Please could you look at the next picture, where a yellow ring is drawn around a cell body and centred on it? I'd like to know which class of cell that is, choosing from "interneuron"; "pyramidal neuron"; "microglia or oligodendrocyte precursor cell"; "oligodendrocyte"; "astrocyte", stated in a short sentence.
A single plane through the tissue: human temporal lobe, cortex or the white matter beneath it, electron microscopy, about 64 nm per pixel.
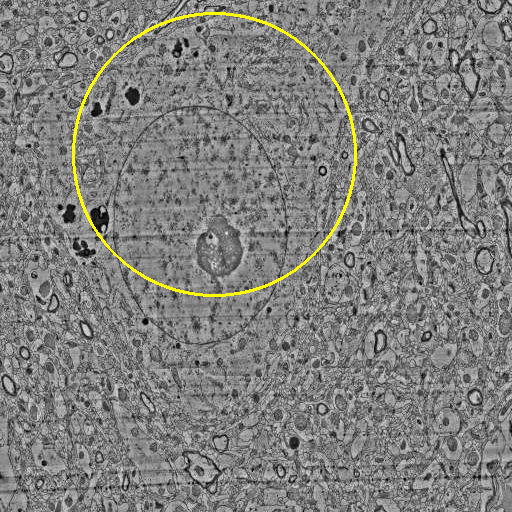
The ring's centre lies on a pyramidal neuron.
